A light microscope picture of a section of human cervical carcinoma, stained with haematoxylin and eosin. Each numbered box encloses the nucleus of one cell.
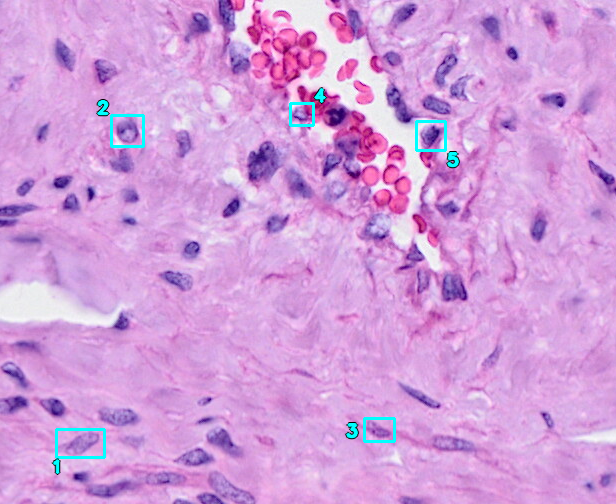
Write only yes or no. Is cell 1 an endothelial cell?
no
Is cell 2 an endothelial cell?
yes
